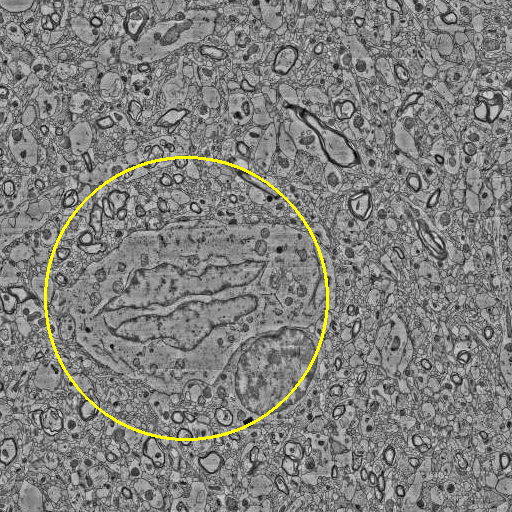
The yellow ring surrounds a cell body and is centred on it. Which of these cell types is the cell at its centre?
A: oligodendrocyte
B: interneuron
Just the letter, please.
B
